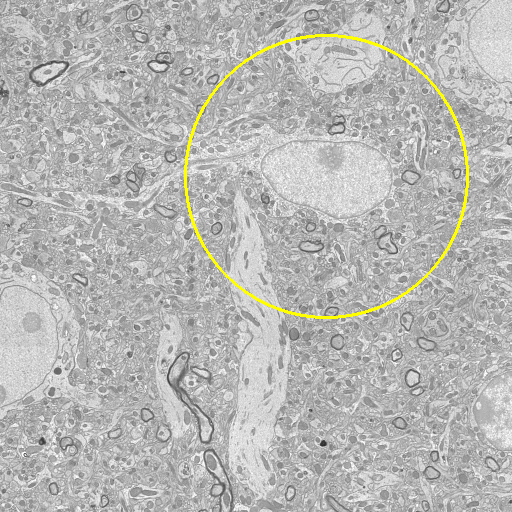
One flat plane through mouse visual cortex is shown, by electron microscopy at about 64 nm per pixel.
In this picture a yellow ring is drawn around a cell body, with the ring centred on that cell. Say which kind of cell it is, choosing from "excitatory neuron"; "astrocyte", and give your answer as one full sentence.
Here it is an astrocyte that sits at the centre of the drawn yellow ring.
